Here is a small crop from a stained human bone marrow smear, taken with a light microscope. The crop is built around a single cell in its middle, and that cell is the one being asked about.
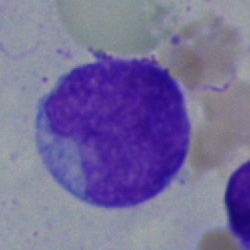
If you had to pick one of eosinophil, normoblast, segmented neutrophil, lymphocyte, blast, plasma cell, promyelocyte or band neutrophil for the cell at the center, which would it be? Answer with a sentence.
What sits at the centre of this crop is a blast.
